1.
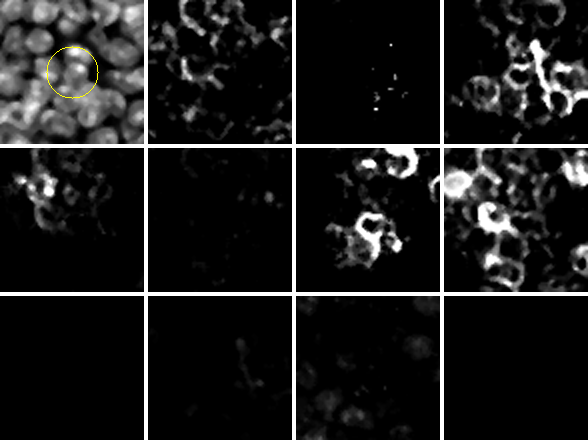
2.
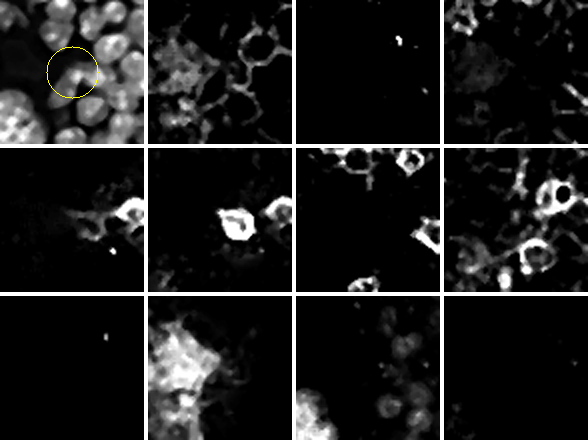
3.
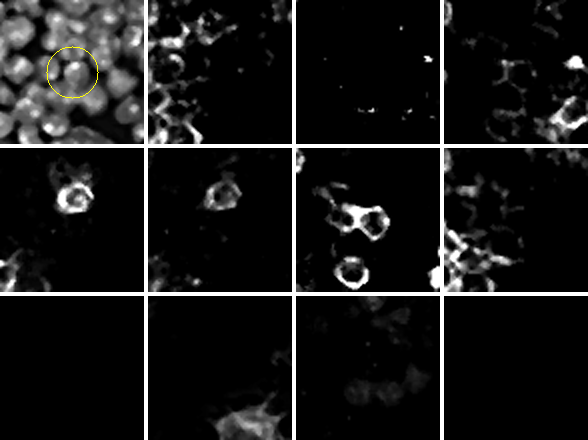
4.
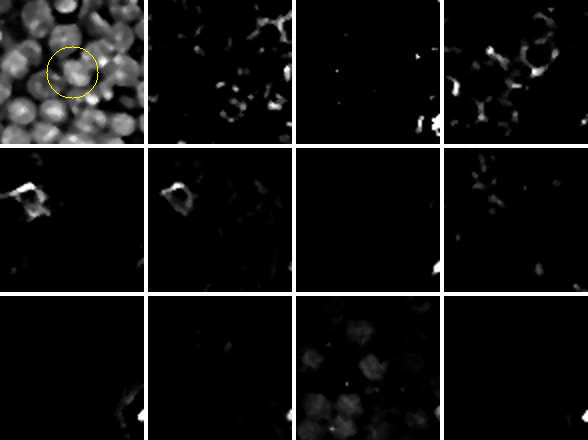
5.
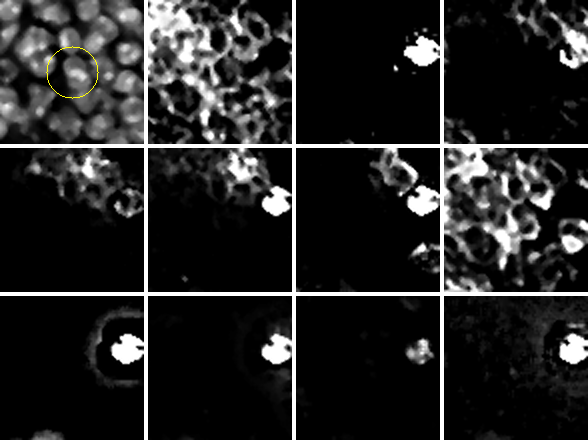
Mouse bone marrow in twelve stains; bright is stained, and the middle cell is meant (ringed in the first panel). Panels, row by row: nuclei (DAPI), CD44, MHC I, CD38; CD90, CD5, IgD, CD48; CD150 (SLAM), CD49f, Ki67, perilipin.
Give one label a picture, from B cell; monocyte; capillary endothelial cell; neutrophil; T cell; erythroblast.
Picture 1: B cell
Picture 2: T cell
Picture 3: B cell
Picture 4: erythroblast
Picture 5: monocyte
